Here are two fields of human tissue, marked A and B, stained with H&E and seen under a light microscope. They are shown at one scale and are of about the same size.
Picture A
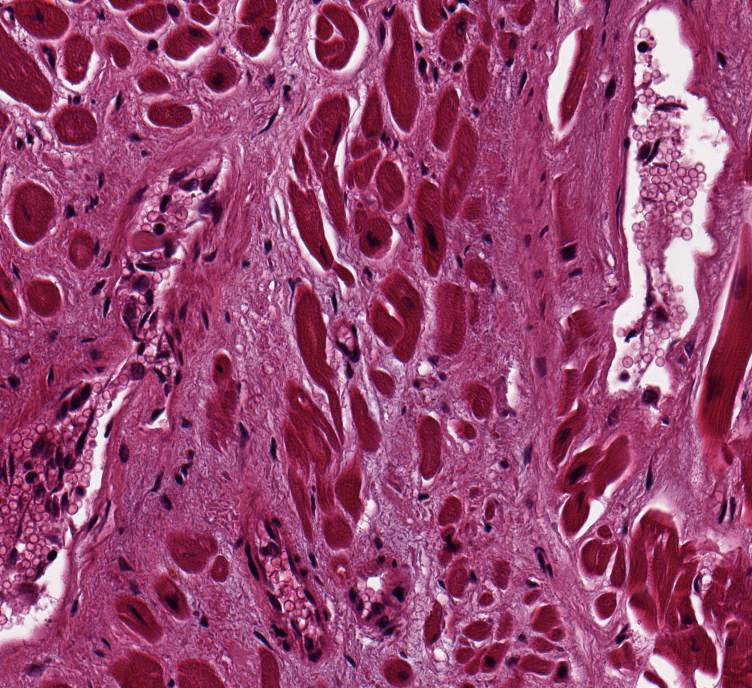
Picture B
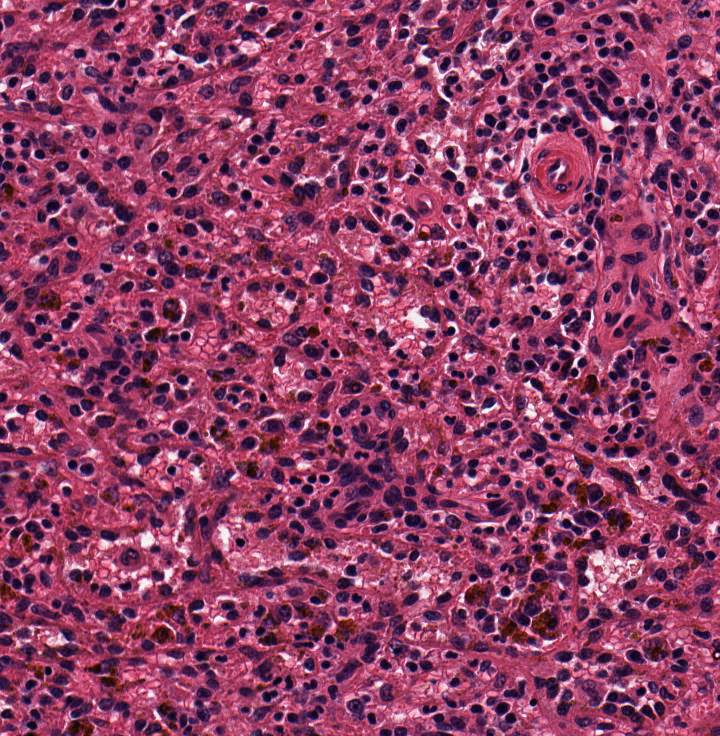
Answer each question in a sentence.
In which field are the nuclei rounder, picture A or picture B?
On the whole the nuclei of picture B are rounder than those of picture A.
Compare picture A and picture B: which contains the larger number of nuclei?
There are more nuclei in picture B.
